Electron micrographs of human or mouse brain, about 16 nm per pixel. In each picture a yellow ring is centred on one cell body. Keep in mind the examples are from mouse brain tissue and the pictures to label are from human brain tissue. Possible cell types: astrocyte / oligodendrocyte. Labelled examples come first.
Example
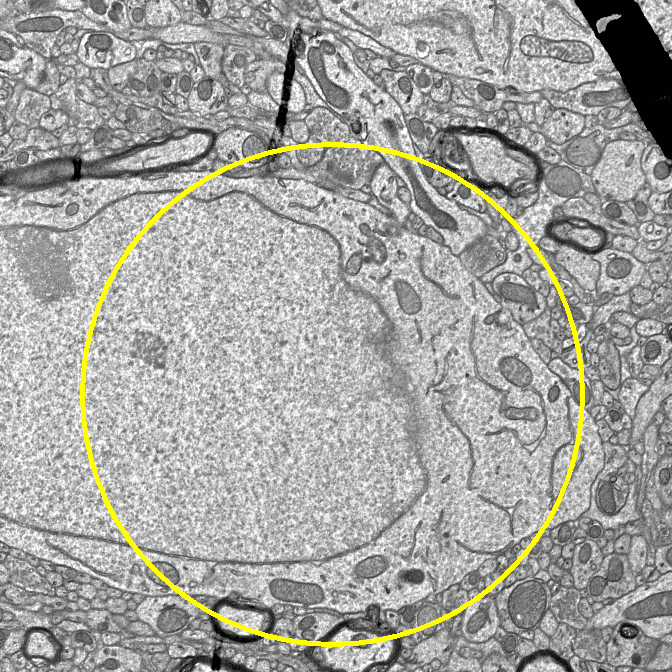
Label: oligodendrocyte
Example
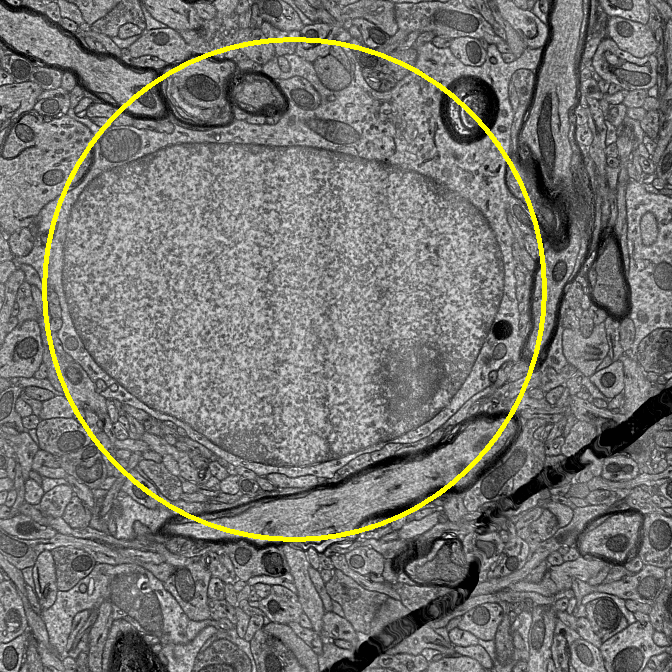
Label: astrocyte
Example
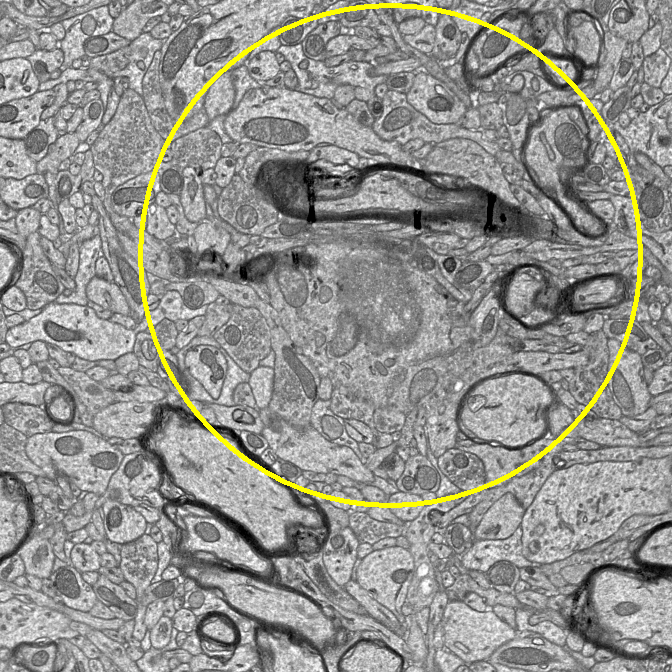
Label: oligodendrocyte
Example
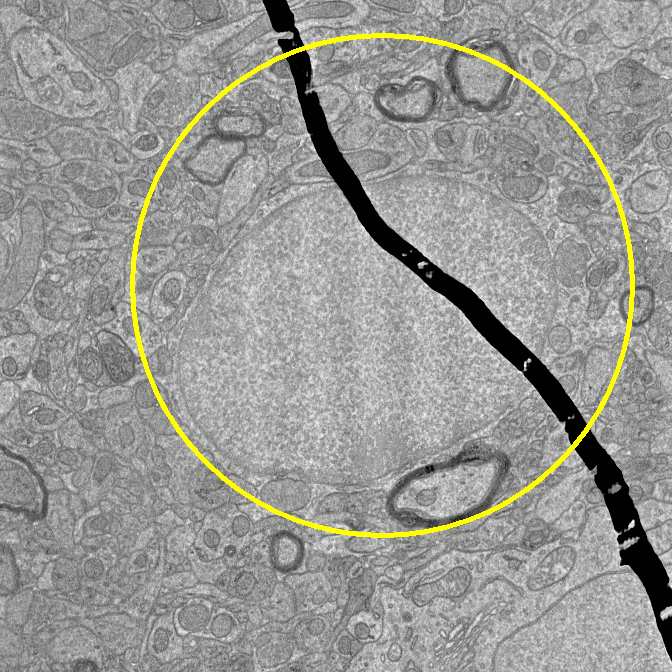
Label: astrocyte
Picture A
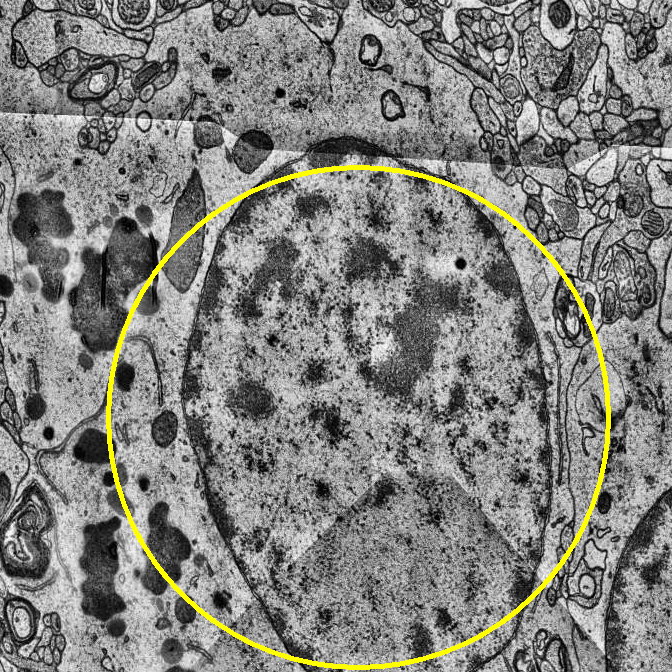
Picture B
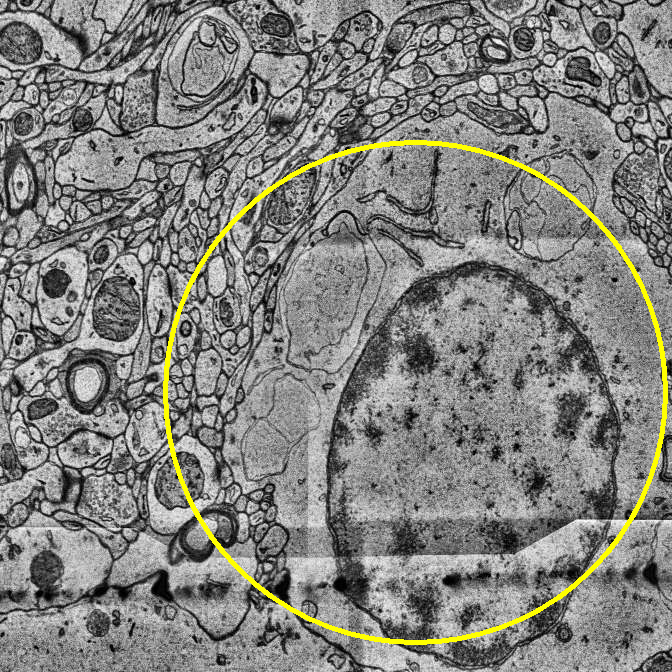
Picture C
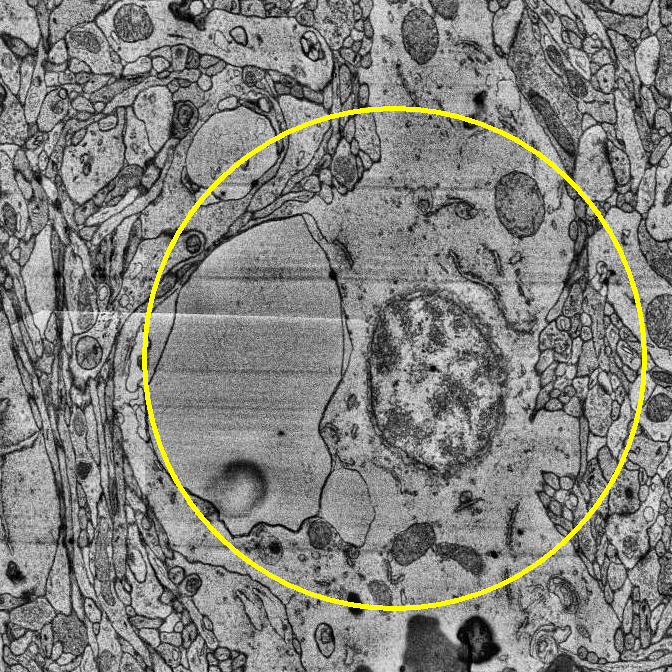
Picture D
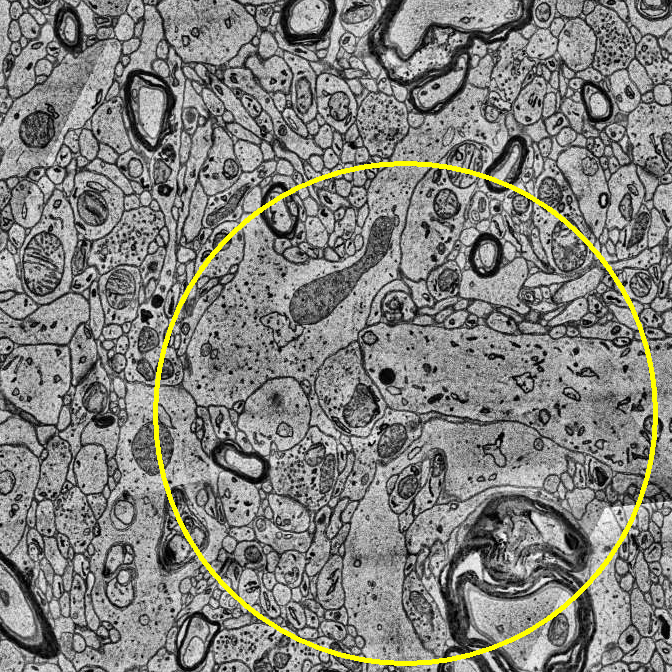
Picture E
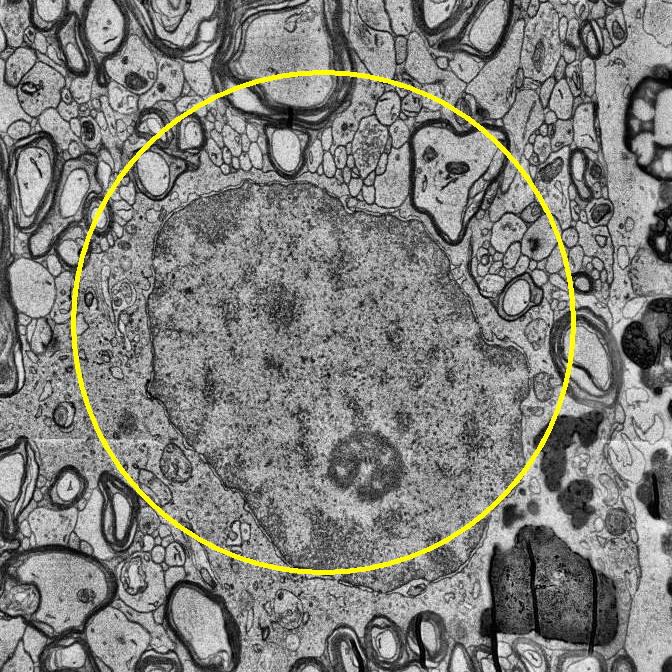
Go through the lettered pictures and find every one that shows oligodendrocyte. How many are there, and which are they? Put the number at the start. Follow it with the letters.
2: D, E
